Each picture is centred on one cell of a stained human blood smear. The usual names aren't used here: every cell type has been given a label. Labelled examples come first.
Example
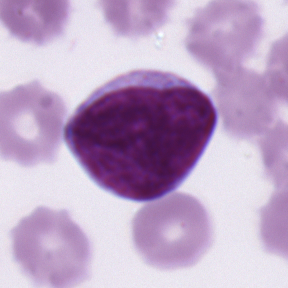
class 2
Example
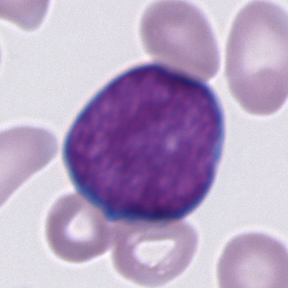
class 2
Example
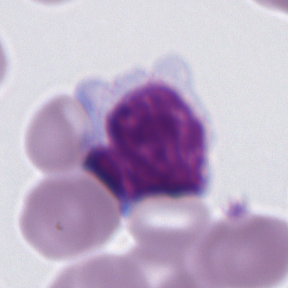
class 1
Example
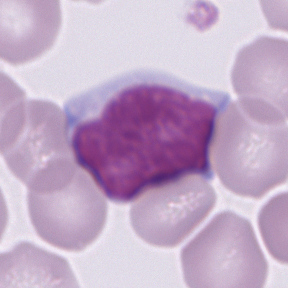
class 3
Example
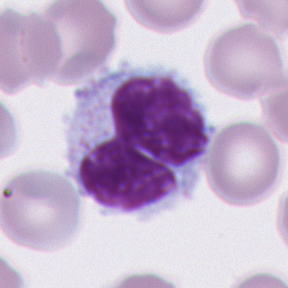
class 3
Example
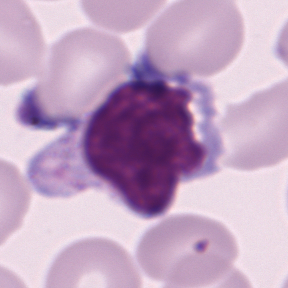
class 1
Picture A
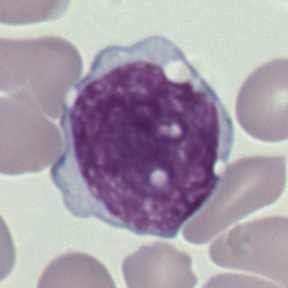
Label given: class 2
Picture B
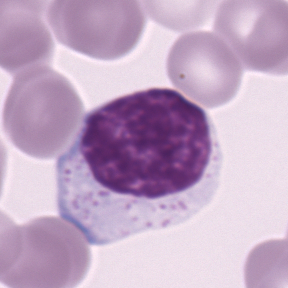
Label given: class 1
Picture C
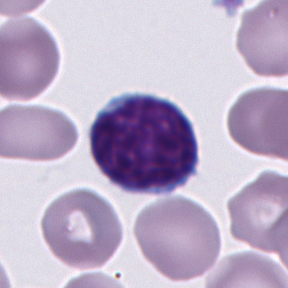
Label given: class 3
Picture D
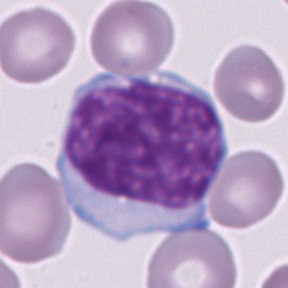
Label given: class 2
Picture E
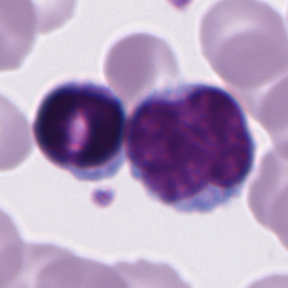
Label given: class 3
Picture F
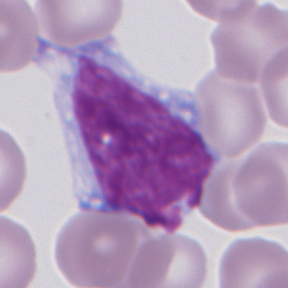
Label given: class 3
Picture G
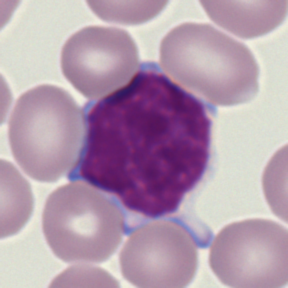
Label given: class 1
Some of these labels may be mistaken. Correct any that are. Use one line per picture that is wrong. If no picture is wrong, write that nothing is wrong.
G: change class 1 to class 3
